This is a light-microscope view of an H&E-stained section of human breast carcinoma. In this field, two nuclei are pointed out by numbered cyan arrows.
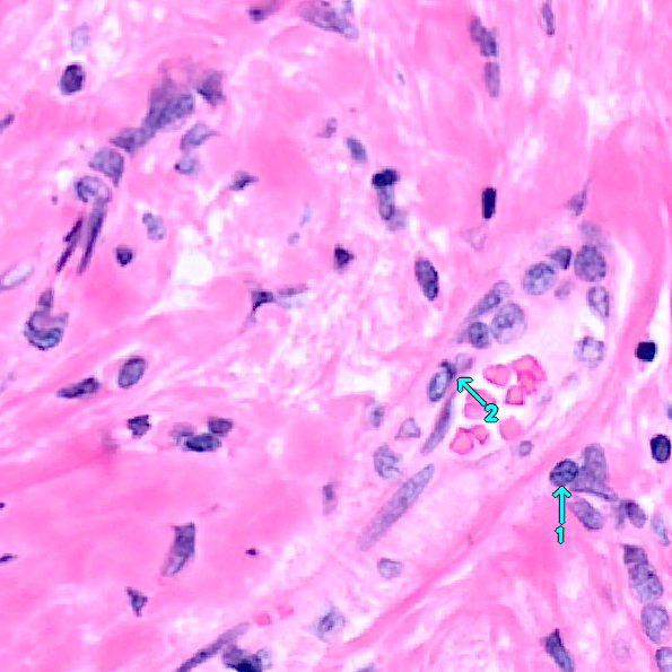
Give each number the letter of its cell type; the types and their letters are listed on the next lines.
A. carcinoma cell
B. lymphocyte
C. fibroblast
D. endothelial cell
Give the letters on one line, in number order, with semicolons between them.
B; D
